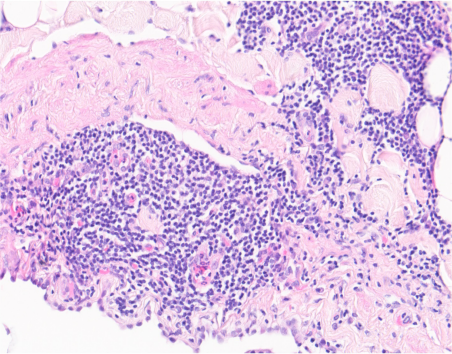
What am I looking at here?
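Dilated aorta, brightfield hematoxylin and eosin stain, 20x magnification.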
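The aggregate sits within pale pink, wavy collagen-rich connective tissue that runs diagonally across the upper part of the field. Toward the upper right, empty rounded spaces of fat cells border a second band of packed lymphoid cells. Scattered small vessels with red blood cells lie within the cellular areas.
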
